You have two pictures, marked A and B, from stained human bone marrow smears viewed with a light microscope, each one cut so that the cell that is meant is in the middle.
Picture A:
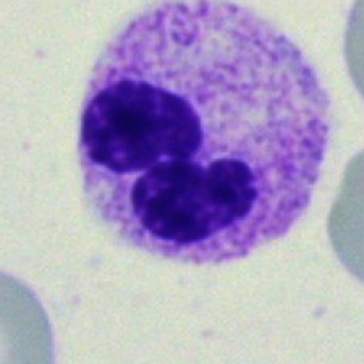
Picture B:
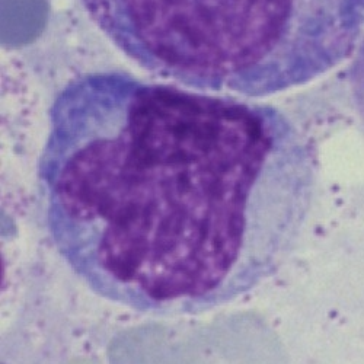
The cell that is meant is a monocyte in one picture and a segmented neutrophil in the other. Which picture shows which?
A: segmented neutrophil
B: monocyte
